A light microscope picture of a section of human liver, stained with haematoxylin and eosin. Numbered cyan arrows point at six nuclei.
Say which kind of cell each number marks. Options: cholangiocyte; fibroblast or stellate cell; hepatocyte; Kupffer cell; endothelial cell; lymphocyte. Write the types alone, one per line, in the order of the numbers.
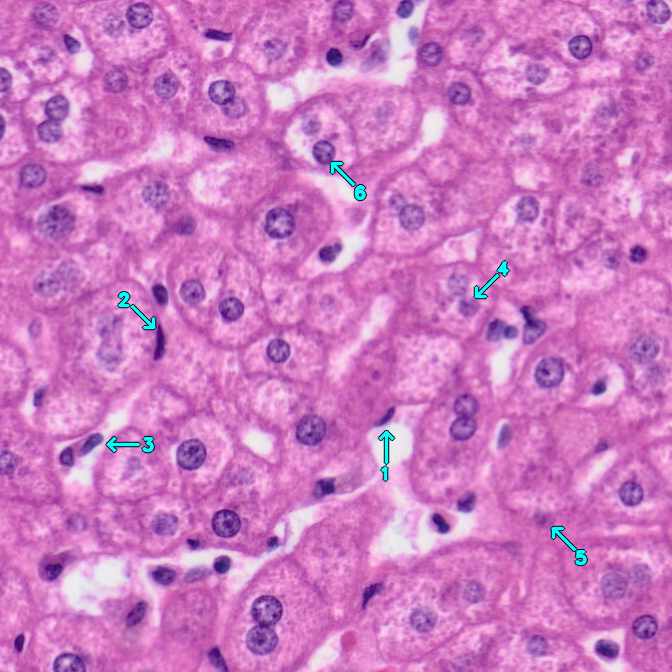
endothelial cell
fibroblast or stellate cell
lymphocyte
hepatocyte
hepatocyte
hepatocyte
